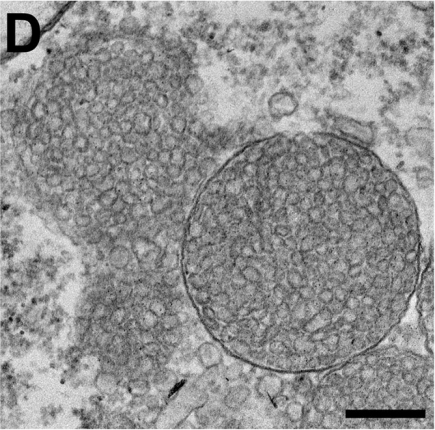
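At high magnification, multivesicular bodies are seen filled with intraluminal vesicles. The right body is round with a clearly drawn dark bounding membrane, and its interior is crowded with small round vesicles with pale centres and dark membranous rims. A second vesicle-filled body at the left has a less distinct outline and merges with the surrounding cytoplasm. The cytoplasm around them is granular with scattered dark particles and a few small separate membrane profiles.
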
